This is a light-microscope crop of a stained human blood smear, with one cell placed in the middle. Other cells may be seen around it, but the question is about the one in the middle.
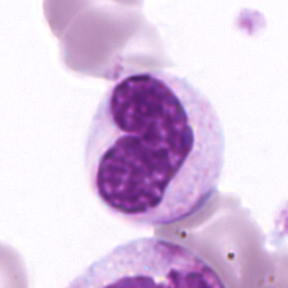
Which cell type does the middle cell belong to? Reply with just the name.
band neutrophil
